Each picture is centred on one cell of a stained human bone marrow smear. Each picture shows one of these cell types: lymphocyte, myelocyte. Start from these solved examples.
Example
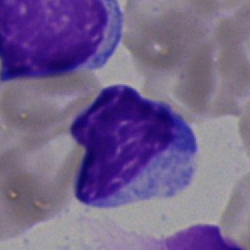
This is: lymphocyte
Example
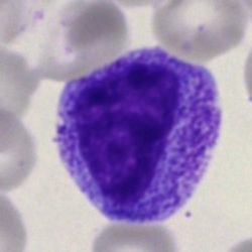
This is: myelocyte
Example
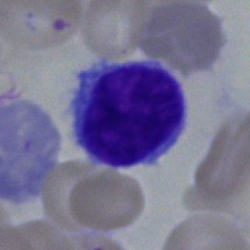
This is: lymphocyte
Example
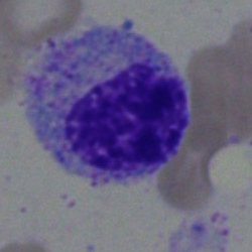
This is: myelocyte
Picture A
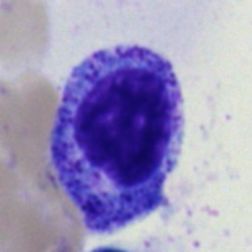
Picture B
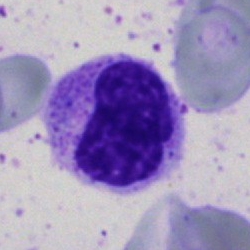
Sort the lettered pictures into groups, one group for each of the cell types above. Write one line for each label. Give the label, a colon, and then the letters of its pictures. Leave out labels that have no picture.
myelocyte: A, B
